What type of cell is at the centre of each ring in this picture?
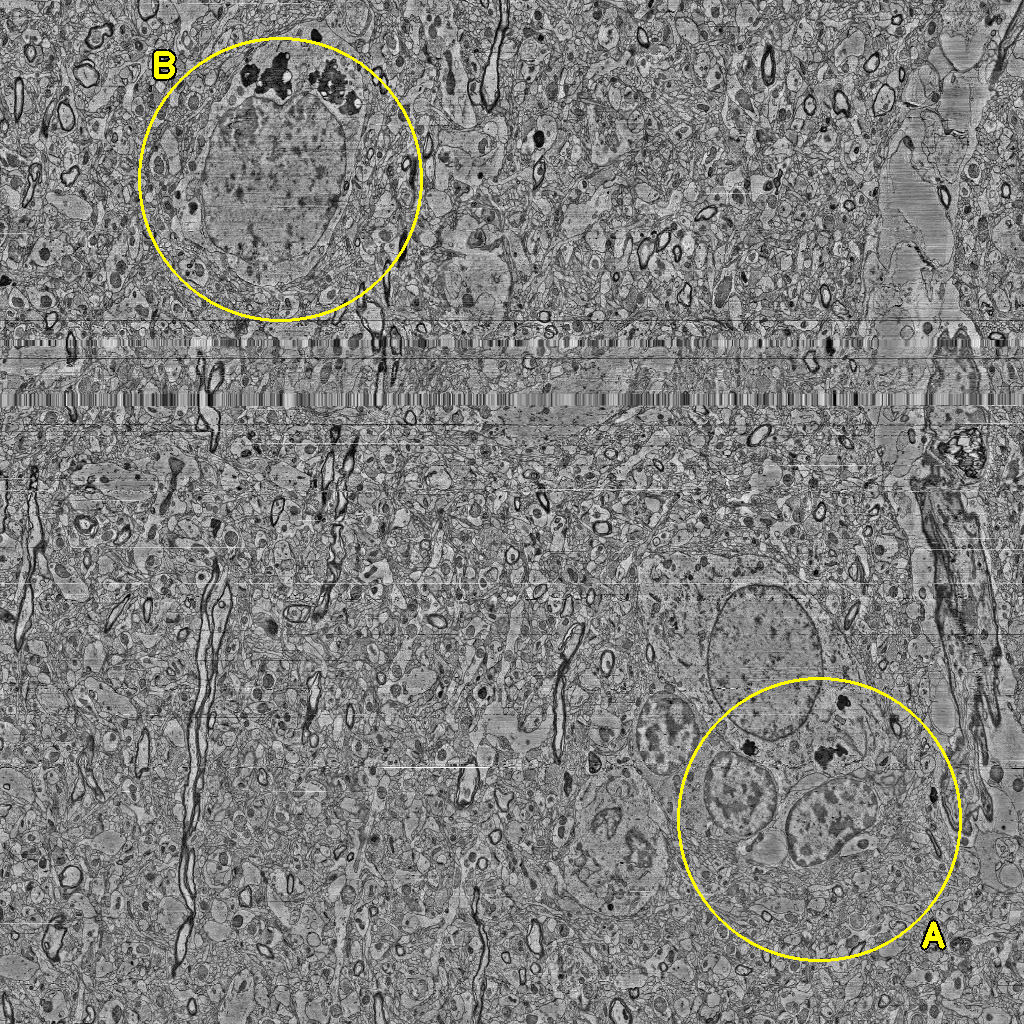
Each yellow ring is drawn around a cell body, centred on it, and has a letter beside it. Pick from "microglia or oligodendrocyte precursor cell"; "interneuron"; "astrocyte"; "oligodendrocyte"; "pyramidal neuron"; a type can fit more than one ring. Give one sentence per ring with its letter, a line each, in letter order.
The ring marked A is centred on a microglial cell or oligodendrocyte precursor cell.
The ring marked B is centred on an interneuron.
